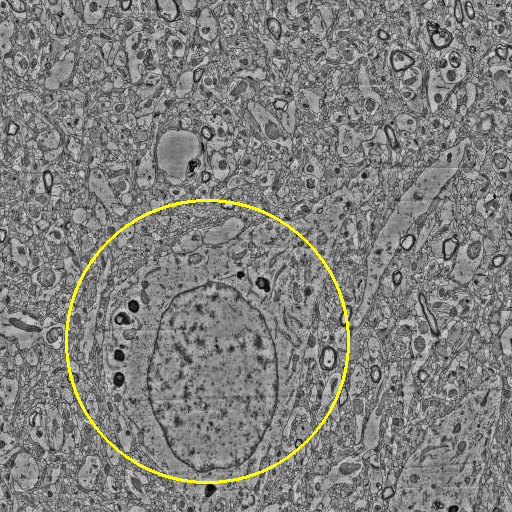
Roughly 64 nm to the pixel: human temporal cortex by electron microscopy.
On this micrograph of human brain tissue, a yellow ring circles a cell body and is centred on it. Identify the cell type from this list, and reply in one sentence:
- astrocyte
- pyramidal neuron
The cell at the centre is a pyramidal neuron.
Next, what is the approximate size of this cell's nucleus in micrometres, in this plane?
In this plane the nucleus measures roughly 12 by 8 micrometers.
